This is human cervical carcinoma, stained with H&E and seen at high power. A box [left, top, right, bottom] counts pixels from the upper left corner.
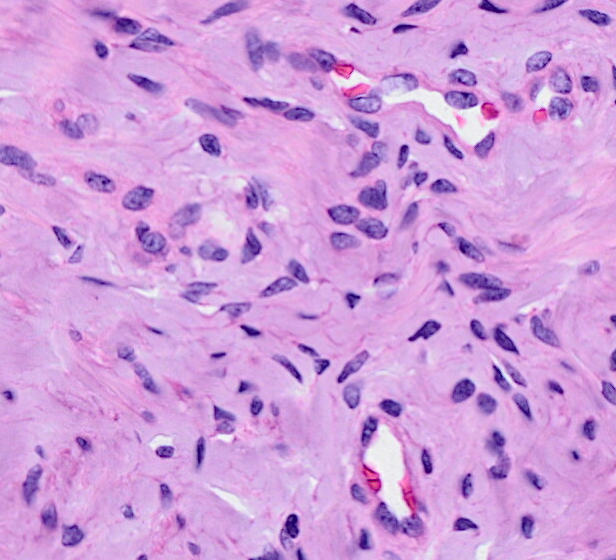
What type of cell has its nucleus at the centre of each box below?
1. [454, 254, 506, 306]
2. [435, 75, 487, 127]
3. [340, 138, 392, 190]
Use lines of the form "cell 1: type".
cell 1: fibroblast
cell 2: endothelial cell
cell 3: fibroblast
